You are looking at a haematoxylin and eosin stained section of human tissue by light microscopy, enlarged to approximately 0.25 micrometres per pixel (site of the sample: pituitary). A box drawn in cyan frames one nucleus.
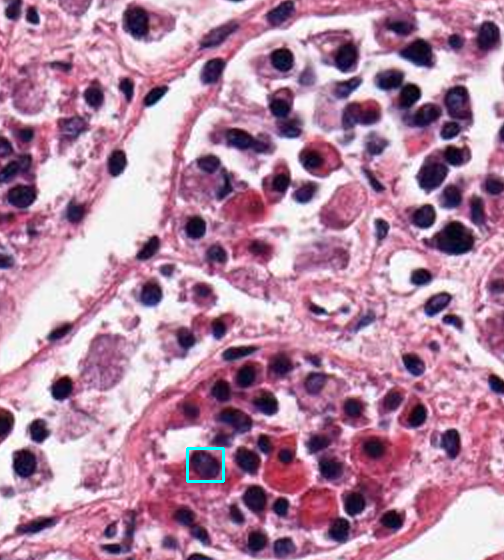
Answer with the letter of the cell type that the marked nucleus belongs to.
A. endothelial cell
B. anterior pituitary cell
B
